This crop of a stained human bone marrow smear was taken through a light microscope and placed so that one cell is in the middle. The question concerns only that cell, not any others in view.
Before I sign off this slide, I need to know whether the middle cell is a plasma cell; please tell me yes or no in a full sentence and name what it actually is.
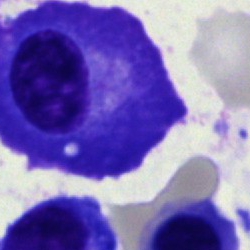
Yes, a plasma cell occupies the middle of the crop.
